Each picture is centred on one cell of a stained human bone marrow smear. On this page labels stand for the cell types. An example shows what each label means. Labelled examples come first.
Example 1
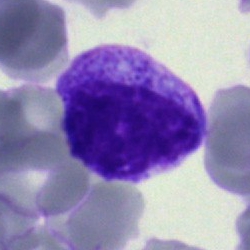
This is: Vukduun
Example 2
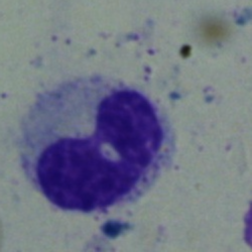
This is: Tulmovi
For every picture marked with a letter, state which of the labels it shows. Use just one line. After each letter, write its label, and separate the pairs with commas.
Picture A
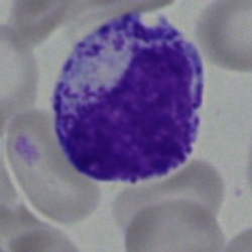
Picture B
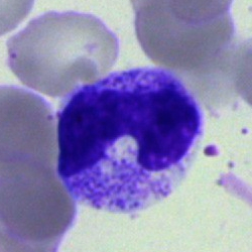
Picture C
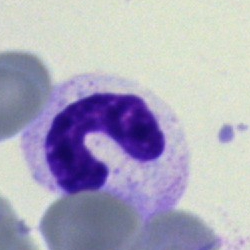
A Vukduun, B Tulmovi, C Tulmovi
